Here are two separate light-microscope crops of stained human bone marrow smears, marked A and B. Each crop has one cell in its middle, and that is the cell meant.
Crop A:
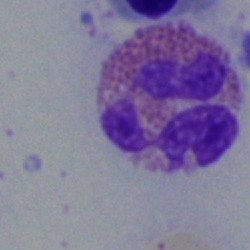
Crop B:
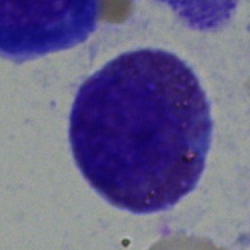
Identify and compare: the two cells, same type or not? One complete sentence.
Yes, eosinophils are shown in both crops.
